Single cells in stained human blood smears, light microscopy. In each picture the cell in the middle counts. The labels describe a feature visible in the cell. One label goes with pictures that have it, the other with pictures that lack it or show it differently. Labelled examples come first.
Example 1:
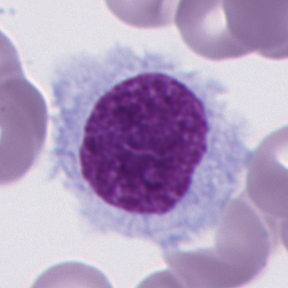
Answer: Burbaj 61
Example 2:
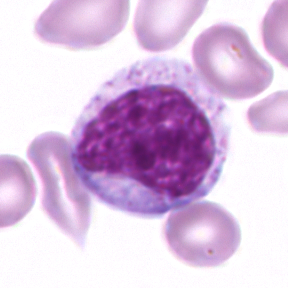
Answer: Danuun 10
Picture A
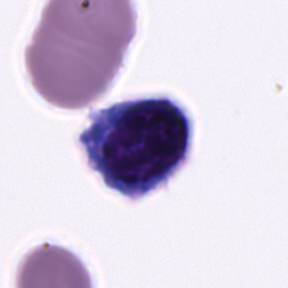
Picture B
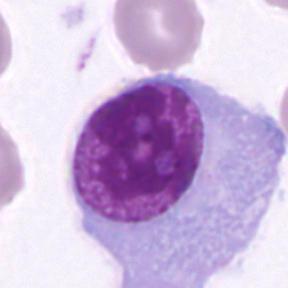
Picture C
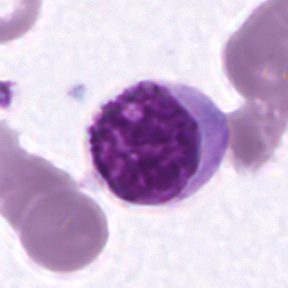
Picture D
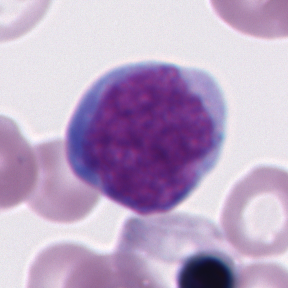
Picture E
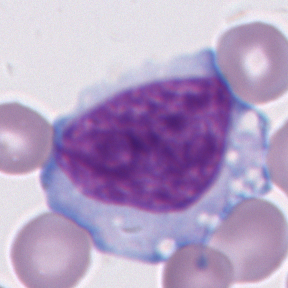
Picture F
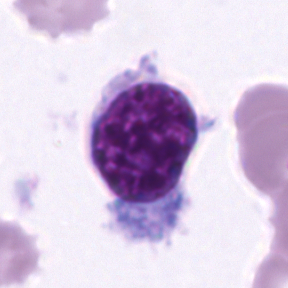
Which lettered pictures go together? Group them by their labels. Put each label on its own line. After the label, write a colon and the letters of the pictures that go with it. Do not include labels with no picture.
Burbaj 61: B, E
Danuun 10: A, C, D, F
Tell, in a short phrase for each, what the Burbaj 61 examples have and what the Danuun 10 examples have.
Seen in Burbaj 61: abundant cytoplasm; seen in Danuun 10: scant cytoplasm.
